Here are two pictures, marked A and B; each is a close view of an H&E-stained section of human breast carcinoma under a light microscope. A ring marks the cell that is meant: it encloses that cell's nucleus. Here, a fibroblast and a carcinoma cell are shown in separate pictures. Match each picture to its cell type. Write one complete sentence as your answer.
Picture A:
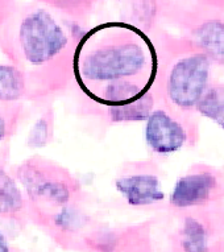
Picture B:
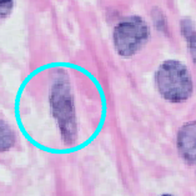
Picture A is of a carcinoma cell, and picture B is of a fibroblast.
